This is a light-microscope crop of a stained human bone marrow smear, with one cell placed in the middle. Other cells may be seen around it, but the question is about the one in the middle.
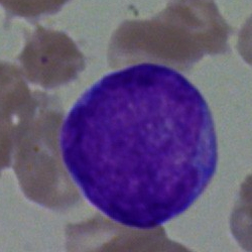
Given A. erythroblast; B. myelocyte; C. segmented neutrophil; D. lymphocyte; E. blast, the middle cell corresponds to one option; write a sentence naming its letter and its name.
Since the middle cell is a blast, option E is the right one.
